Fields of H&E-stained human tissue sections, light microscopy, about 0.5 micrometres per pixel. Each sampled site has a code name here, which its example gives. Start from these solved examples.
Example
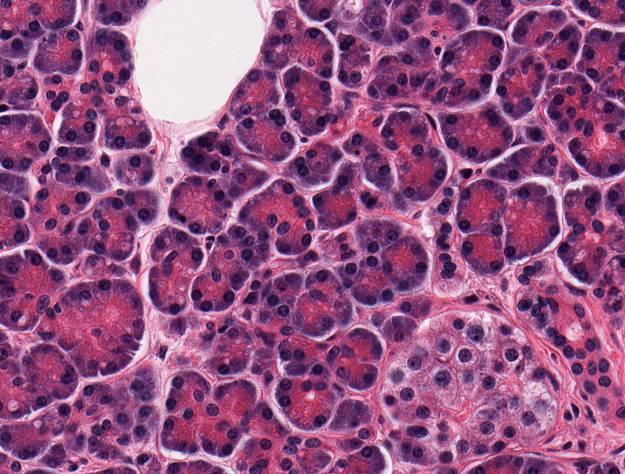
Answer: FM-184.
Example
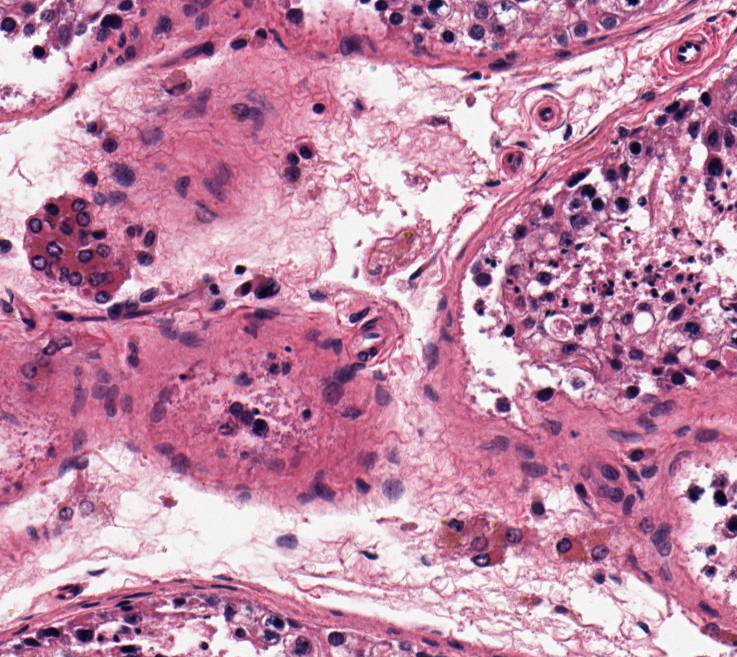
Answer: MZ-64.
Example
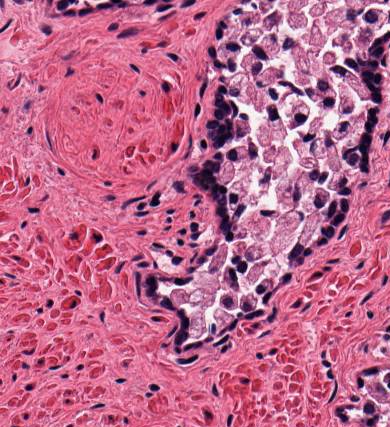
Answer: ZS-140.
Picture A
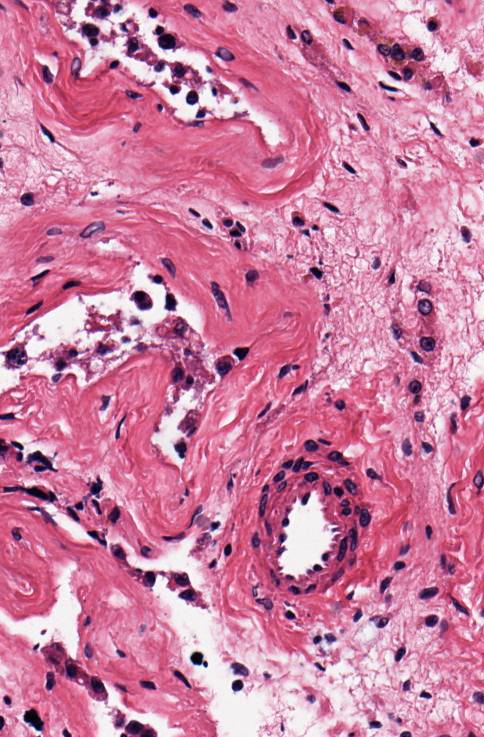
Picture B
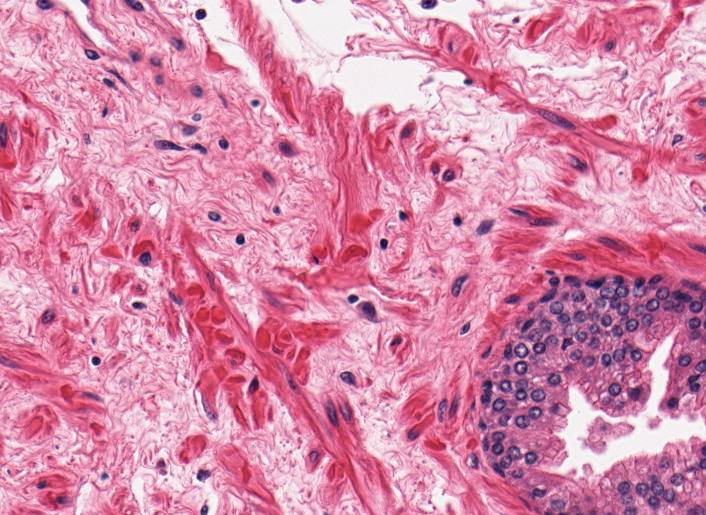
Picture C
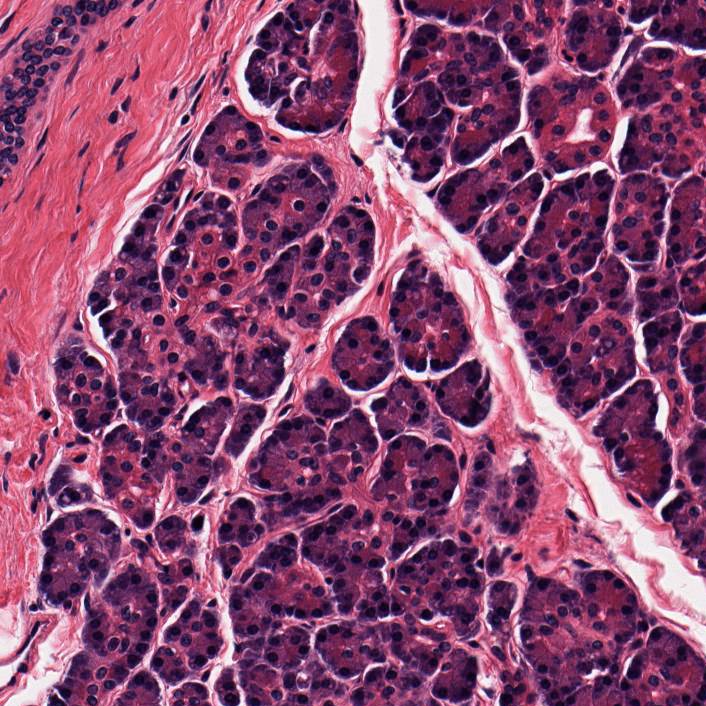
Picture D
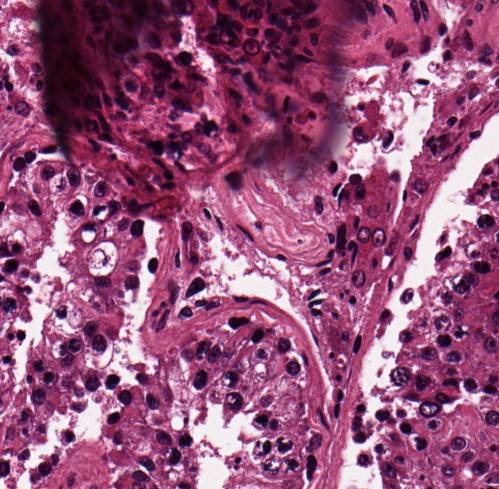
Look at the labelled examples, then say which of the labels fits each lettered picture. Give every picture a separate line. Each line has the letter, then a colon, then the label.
A: MZ-64.
B: ZS-140.
C: FM-184.
D: MZ-64.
